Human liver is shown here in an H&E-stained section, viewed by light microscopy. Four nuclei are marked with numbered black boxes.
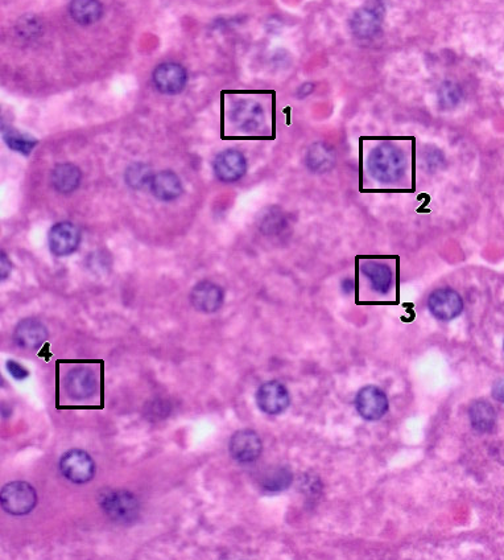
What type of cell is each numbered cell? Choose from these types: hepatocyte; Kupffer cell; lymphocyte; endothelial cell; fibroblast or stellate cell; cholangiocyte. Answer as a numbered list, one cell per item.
1. hepatocyte
2. hepatocyte
3. Kupffer cell
4. hepatocyte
